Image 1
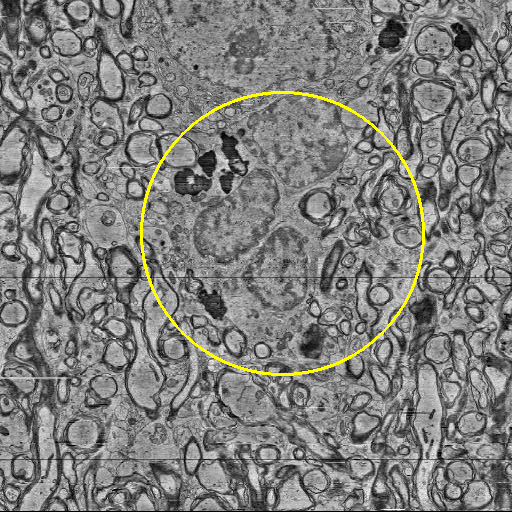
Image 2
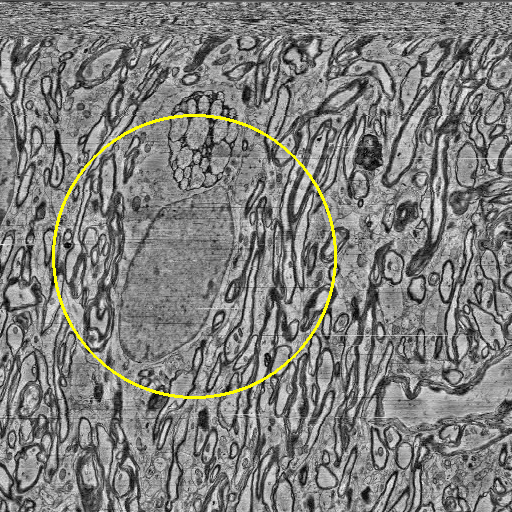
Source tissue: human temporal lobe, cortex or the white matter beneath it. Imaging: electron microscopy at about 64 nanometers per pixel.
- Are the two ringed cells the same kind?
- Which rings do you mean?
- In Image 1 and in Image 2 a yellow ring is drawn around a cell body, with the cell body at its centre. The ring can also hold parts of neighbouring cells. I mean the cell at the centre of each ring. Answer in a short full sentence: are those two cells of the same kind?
No, the cells are of two kinds.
